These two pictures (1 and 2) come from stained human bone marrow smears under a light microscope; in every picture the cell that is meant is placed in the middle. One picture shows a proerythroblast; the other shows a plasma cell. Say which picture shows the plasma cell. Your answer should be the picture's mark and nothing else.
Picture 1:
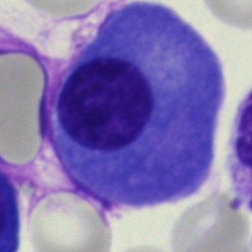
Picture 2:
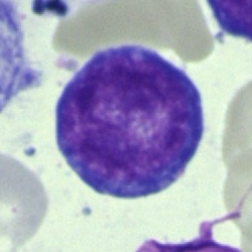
1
